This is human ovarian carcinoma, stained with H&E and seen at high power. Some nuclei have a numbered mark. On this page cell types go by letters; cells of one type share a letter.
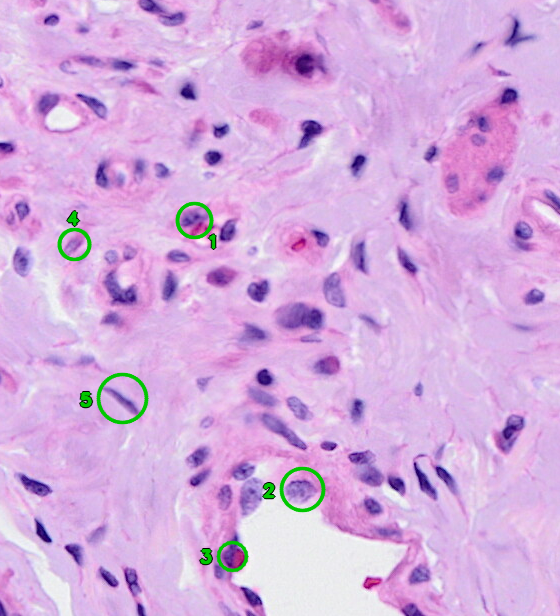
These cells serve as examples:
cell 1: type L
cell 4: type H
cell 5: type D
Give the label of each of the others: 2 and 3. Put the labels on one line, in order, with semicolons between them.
type L; type L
